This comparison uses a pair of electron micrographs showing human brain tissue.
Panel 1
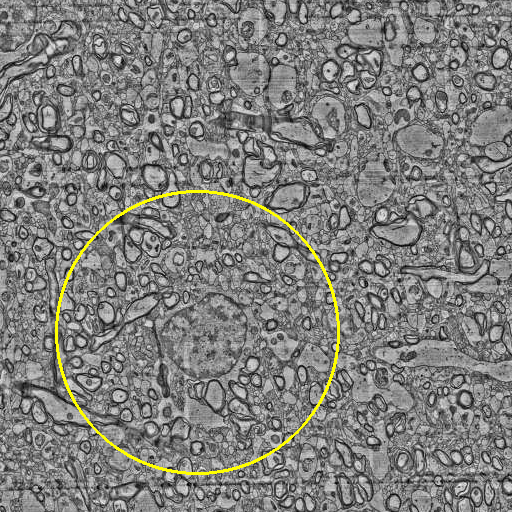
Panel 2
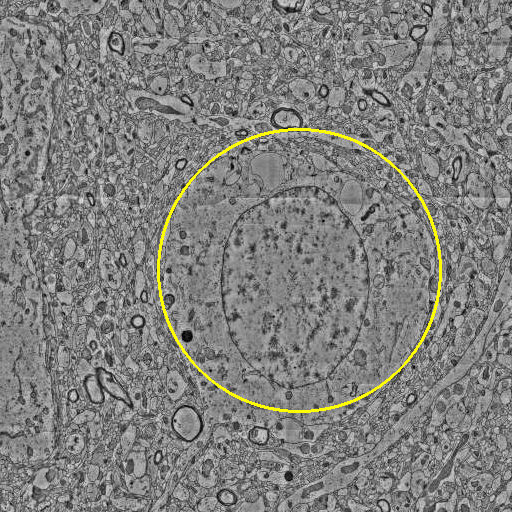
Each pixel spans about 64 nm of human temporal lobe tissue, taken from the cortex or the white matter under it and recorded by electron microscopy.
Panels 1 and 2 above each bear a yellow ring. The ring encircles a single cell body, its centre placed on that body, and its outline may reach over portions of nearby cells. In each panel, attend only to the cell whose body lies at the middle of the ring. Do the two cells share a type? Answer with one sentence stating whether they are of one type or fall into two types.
In Panel 1 and Panel 2, the cells at the centres of the rings fall into two types.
